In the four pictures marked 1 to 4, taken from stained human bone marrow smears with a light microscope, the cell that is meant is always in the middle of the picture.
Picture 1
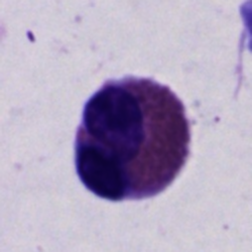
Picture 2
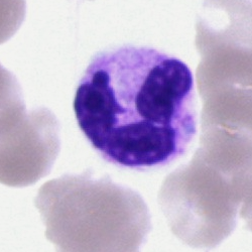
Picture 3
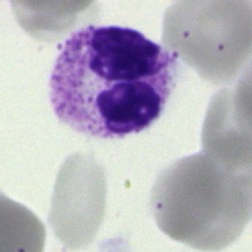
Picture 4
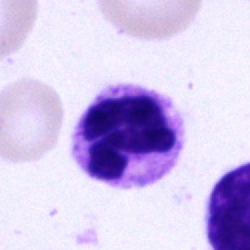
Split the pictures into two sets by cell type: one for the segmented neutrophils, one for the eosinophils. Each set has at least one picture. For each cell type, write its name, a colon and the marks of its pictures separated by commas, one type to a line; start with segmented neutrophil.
segmented neutrophil: 2, 3, 4
eosinophil: 1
